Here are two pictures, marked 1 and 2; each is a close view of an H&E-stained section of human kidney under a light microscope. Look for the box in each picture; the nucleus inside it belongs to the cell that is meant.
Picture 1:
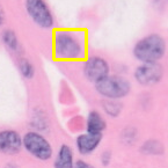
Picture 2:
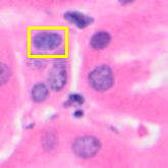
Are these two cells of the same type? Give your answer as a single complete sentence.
Yes, both are collecting duct cells.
